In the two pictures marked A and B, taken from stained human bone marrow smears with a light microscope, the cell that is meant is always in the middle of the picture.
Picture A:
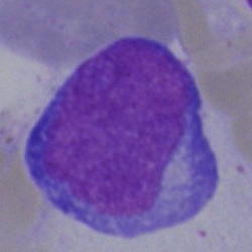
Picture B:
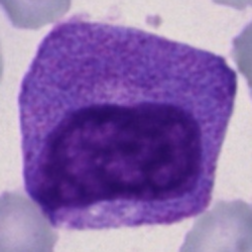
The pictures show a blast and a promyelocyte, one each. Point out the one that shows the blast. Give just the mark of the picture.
A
